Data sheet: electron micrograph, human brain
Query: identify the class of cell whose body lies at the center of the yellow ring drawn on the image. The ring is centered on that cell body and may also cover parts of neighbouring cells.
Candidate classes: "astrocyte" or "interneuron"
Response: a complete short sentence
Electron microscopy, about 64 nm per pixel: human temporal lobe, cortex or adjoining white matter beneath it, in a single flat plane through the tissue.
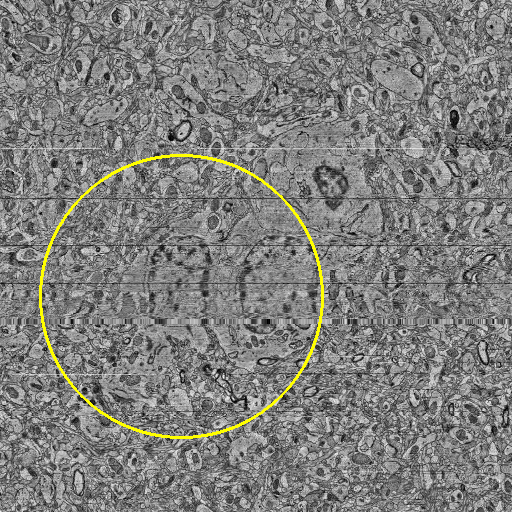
At the center of the ring lies an astrocyte.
